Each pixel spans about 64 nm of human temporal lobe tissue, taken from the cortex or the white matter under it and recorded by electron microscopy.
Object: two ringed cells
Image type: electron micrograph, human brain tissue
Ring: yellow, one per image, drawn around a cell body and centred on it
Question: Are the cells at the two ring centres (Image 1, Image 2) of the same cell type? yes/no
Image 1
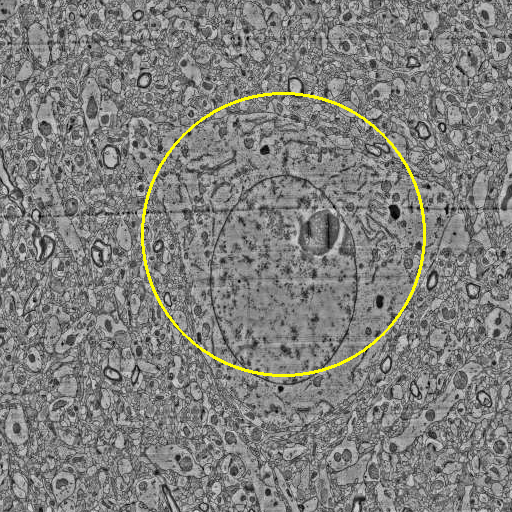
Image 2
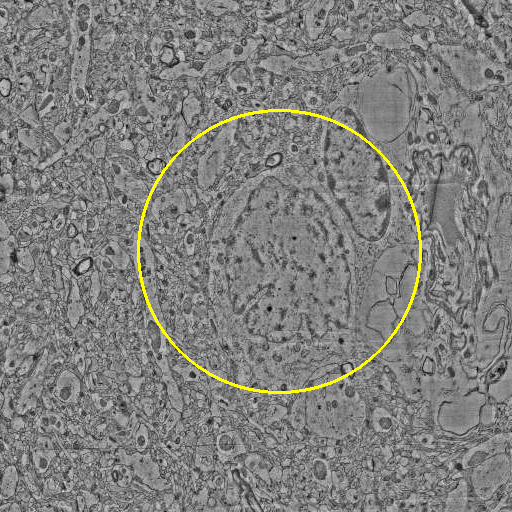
no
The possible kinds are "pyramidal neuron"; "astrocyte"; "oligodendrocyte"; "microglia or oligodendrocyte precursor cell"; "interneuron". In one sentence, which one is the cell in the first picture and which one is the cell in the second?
The cell ringed in the second picture is an interneuron, whereas the one ringed in the first is a pyramidal neuron.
